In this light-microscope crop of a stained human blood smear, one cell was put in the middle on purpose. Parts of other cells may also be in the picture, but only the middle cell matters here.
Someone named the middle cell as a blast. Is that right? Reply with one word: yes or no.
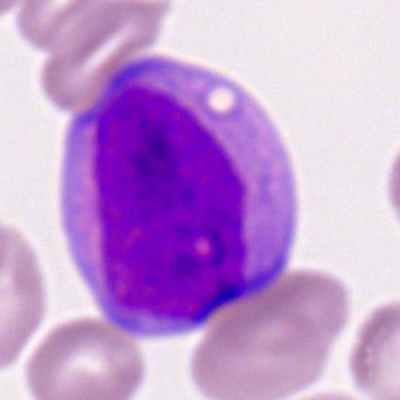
yes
